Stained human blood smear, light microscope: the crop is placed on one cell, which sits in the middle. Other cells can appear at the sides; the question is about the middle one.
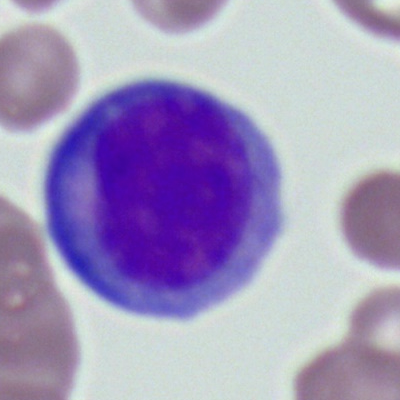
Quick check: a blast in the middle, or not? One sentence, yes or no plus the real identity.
Yes, the cell sitting in the center is a blast.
